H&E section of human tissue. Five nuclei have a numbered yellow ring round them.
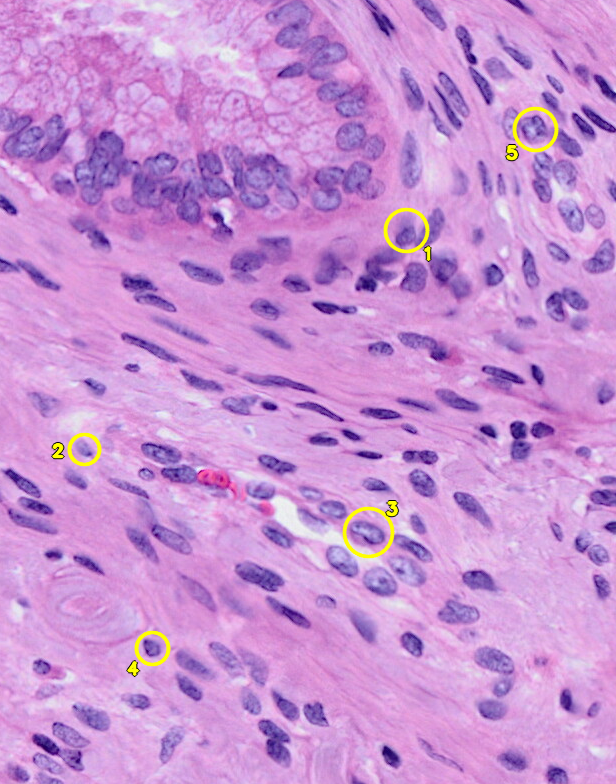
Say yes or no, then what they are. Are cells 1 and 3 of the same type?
No, the cell numbered 1 is a fibroblast and the cell numbered 3 is an endothelial cell.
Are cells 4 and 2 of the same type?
Yes, cells 4 and 2 are of one type, both being fibroblasts.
